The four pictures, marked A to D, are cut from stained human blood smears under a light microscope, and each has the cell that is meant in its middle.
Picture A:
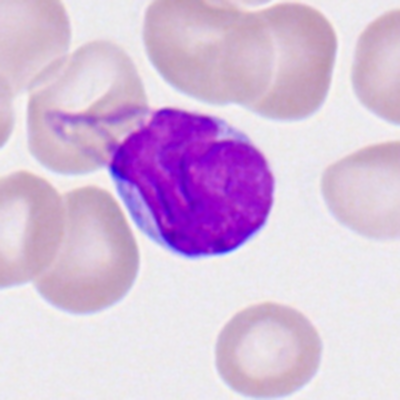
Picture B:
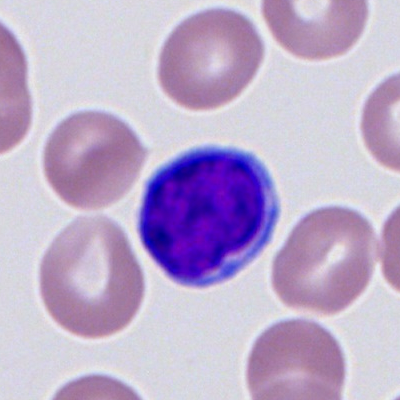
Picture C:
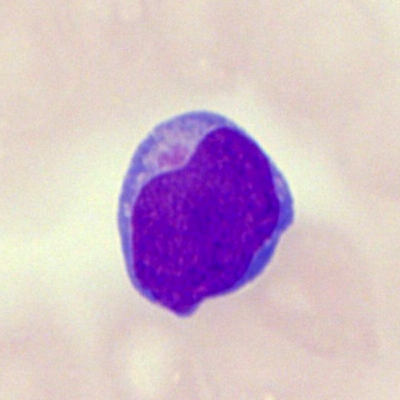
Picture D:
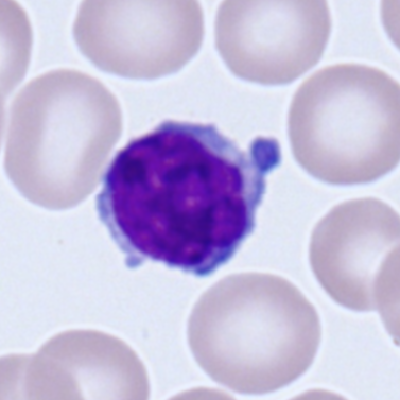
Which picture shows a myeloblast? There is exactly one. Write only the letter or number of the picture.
C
